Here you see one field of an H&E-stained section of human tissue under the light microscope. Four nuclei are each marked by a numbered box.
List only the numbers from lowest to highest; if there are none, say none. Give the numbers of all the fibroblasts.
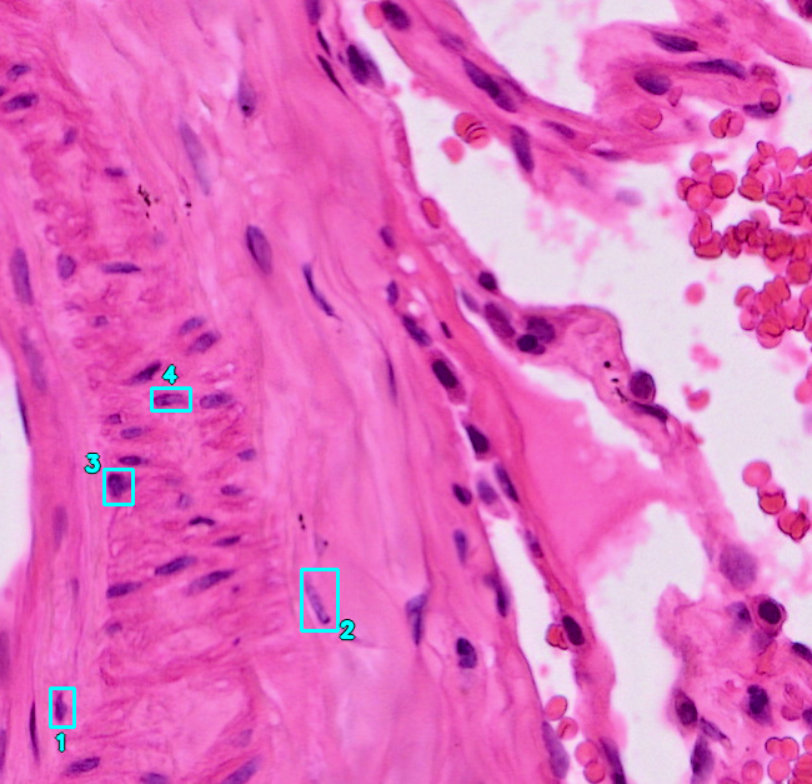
2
